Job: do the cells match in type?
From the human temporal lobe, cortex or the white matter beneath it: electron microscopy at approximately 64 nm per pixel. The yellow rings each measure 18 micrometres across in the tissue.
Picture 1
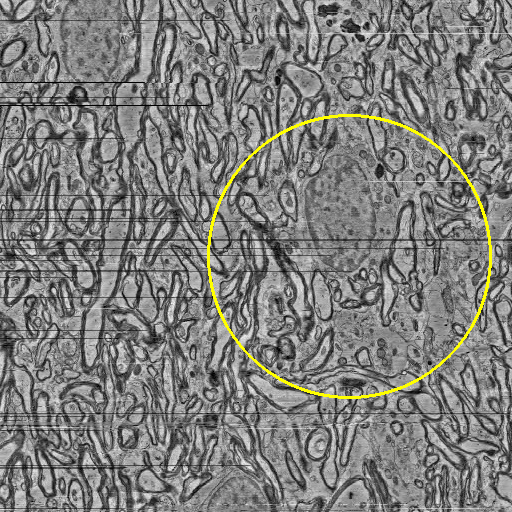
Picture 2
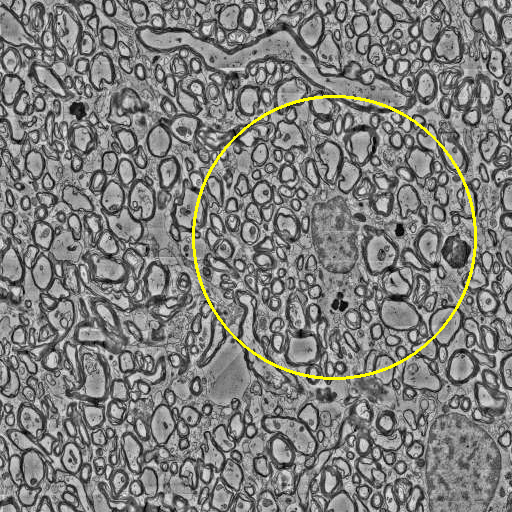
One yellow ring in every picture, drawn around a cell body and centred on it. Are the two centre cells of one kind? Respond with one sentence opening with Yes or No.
Yes, the ringed cells in the two pictures are of one and the same kind.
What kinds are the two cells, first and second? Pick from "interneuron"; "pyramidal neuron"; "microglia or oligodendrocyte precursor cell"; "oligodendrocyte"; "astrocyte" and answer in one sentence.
The first and the second cell are each an oligodendrocyte.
